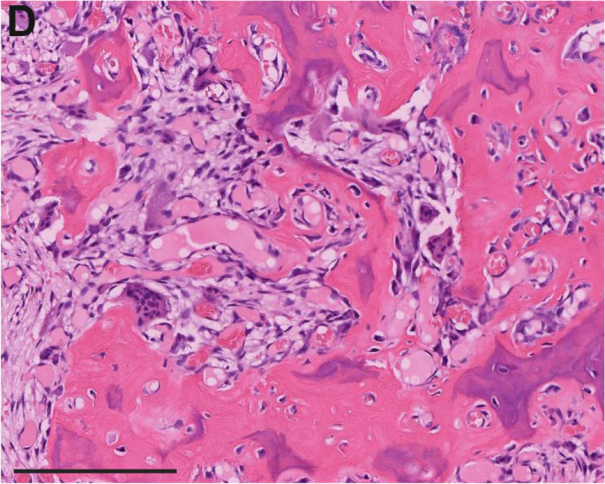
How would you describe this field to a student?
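Pink bone trabeculae with osteocytes in their lacunae and irregular darker purple areas of matrix are separated by a loose cellular stroma. The stroma holds spindle-shaped cells and small vessels containing red blood cells. A multinucleated giant cell, an osteoclast, sits in the stroma next to the bone, and cells are lined up along the trabecular surfaces, pointing to active bone resorption and formation.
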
